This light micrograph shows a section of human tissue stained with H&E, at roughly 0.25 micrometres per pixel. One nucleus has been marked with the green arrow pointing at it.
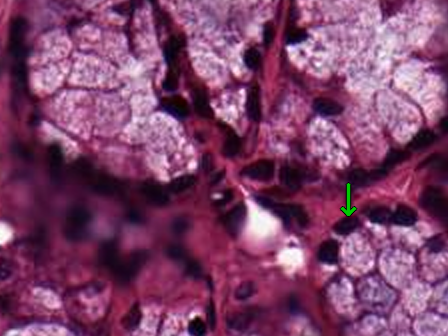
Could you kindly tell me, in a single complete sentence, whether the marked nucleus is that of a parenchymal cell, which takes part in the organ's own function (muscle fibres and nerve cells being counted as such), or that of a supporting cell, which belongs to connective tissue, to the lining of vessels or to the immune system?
The marked nucleus is found in a parenchymal cell, namely a mucous gland cell.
